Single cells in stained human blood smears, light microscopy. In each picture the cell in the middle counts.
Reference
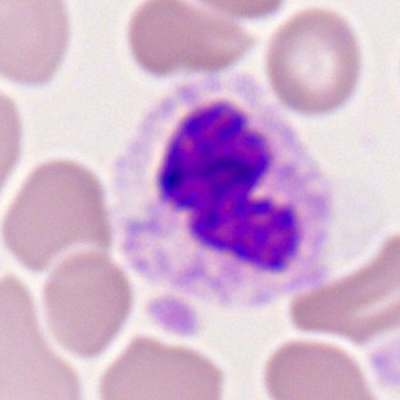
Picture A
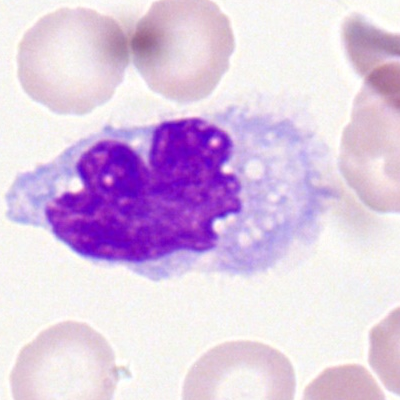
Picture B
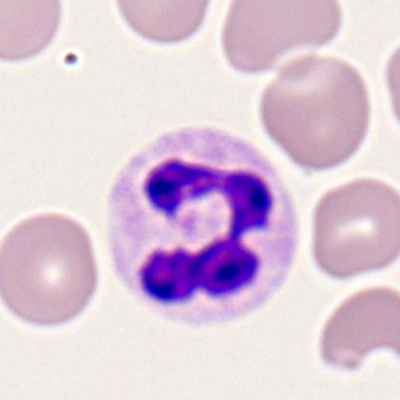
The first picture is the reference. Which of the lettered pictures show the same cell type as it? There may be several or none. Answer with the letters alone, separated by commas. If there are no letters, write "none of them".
B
